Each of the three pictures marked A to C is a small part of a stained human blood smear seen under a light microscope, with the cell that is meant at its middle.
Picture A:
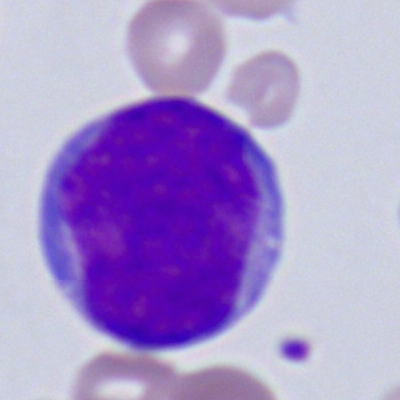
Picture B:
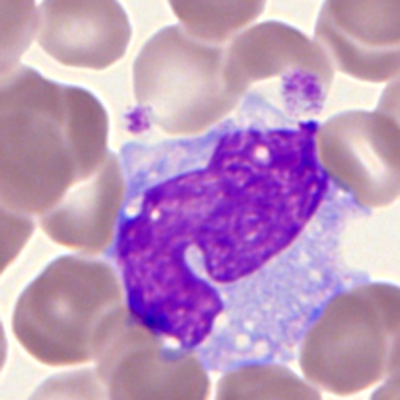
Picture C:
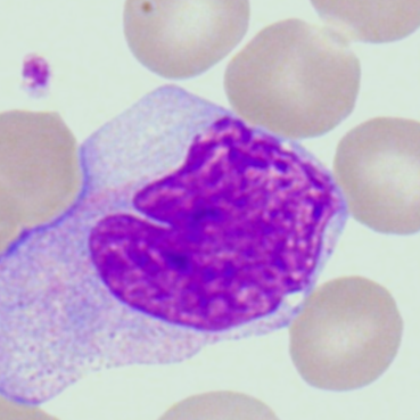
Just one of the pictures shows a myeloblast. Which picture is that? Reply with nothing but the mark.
A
